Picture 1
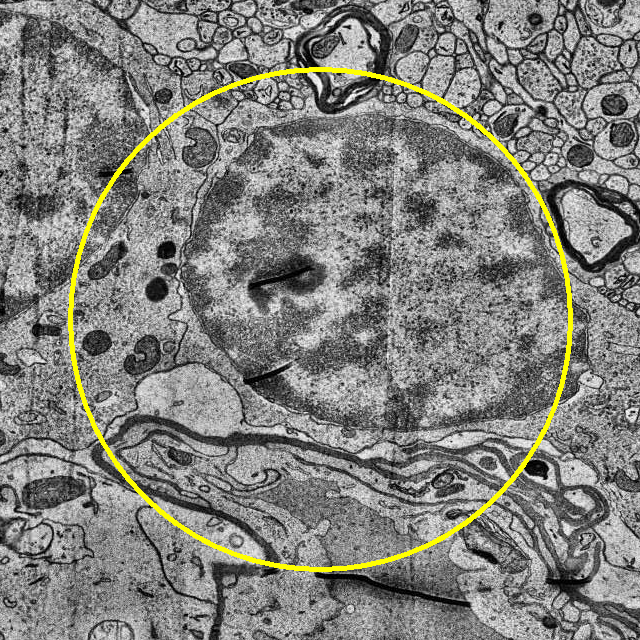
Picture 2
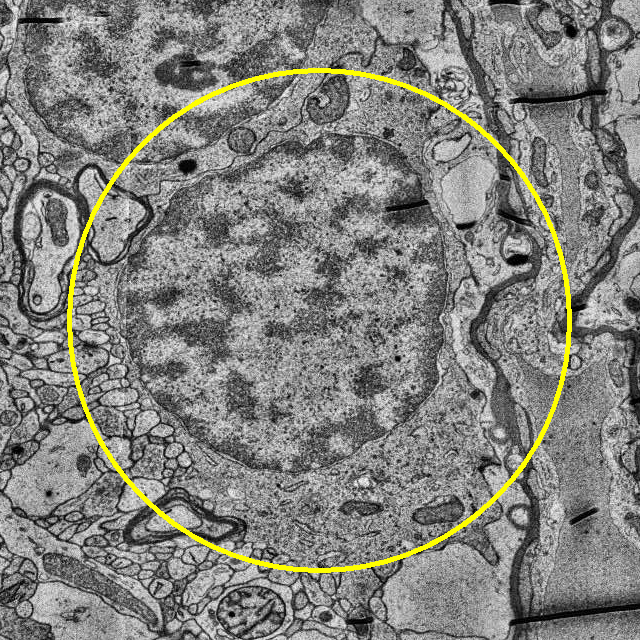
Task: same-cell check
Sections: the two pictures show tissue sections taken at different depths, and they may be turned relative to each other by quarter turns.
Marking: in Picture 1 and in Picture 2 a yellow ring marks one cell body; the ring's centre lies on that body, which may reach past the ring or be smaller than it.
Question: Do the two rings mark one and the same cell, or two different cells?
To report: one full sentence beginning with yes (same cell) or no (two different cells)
No, the two marked cells are different cells.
